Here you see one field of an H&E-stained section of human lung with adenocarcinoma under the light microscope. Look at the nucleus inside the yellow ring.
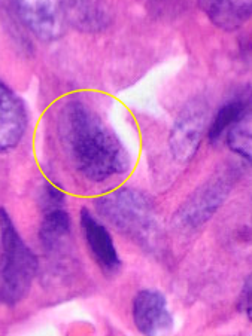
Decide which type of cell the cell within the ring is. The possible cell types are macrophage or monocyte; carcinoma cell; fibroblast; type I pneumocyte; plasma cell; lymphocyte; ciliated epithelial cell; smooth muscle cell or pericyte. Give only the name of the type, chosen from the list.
carcinoma cell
